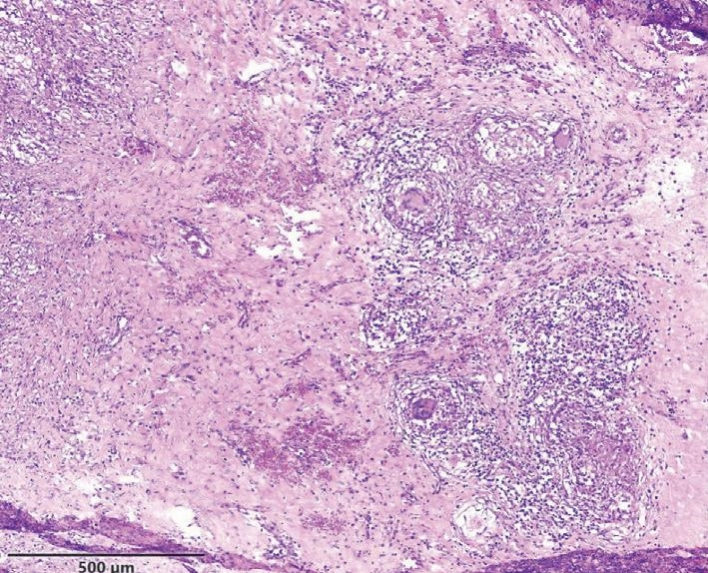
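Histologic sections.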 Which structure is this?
Granulomas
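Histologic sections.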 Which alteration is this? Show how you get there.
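Fibrosis. Broad pale pink fibrous stroma with sparse spindle nuclei occupies much of the left and upper field.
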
